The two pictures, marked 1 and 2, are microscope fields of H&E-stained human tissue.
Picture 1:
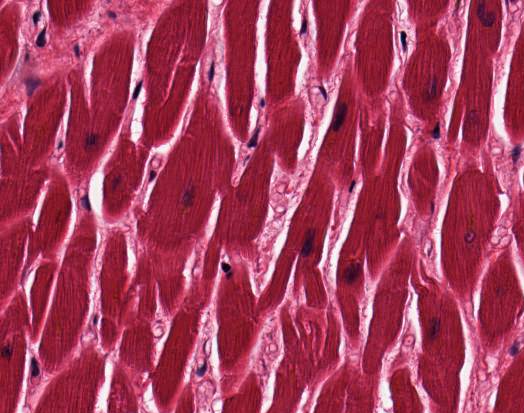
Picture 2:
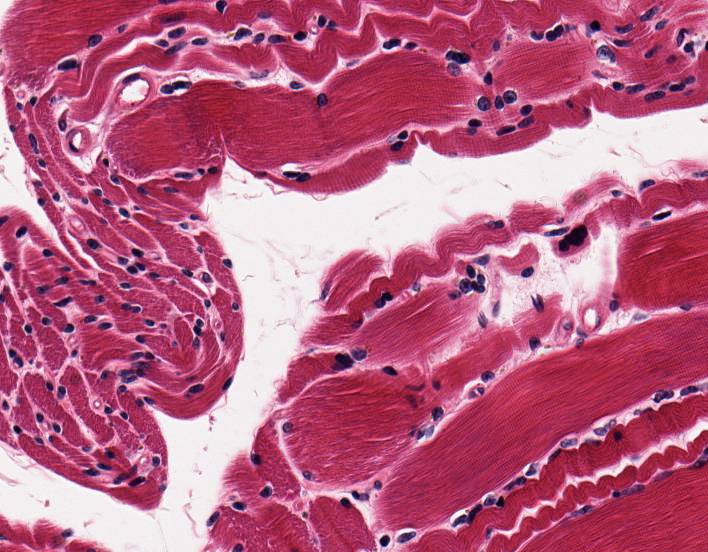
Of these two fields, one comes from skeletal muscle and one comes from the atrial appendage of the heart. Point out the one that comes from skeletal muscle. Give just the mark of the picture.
2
